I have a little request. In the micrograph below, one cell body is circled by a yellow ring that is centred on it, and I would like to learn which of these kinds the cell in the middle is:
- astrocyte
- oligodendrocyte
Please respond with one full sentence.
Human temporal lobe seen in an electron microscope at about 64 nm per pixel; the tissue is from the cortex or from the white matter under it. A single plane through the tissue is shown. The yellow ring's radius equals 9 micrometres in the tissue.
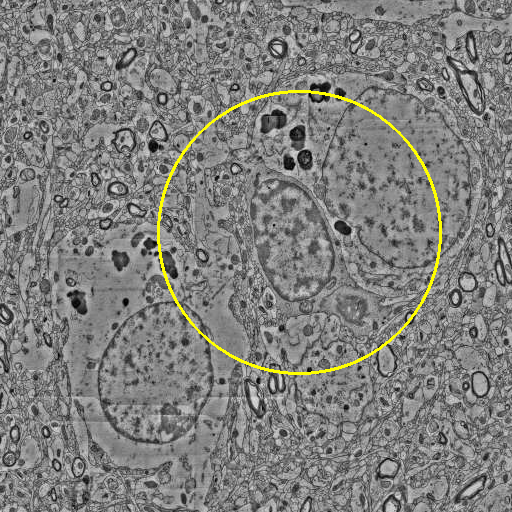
The cell sitting in the middle of the yellow ring in the micrograph is an oligodendrocyte.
